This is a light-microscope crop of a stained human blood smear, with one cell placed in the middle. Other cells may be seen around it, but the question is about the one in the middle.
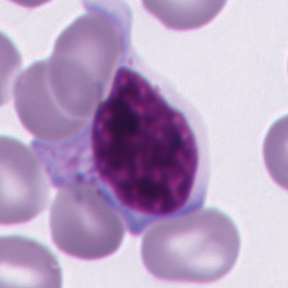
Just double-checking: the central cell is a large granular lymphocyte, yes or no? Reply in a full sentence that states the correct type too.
Yes, the cell in the middle of the view is a large granular lymphocyte.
